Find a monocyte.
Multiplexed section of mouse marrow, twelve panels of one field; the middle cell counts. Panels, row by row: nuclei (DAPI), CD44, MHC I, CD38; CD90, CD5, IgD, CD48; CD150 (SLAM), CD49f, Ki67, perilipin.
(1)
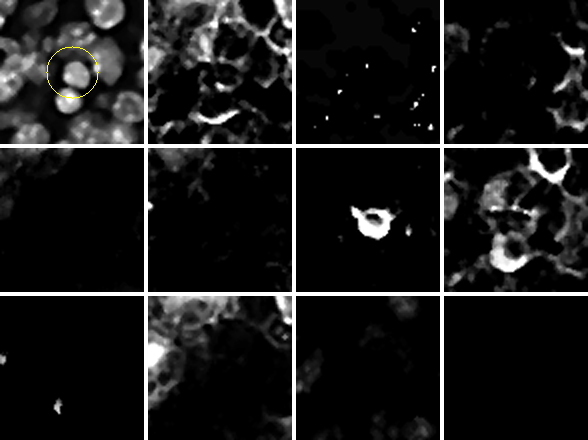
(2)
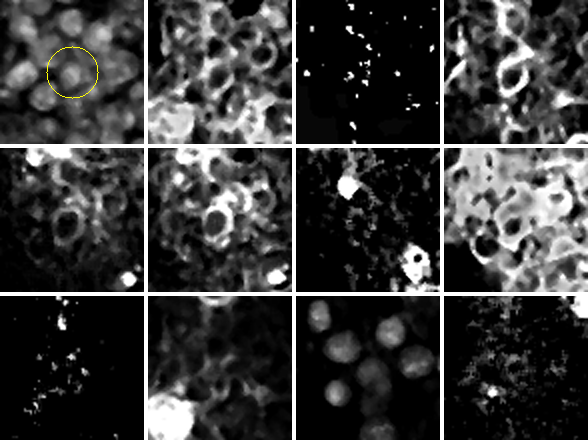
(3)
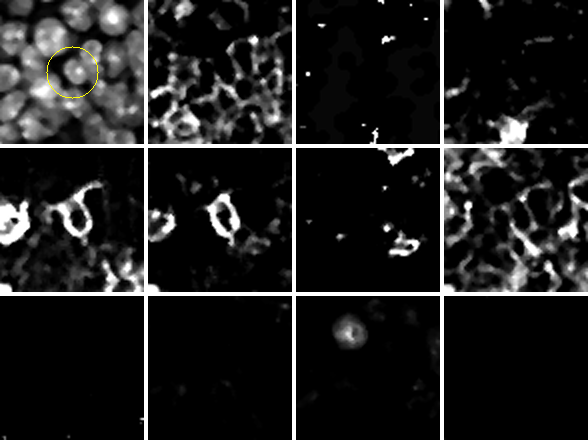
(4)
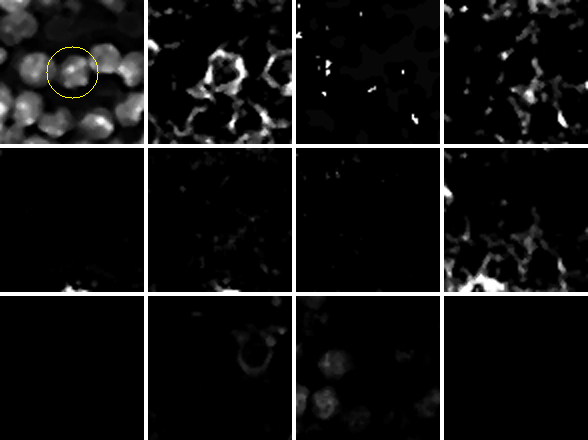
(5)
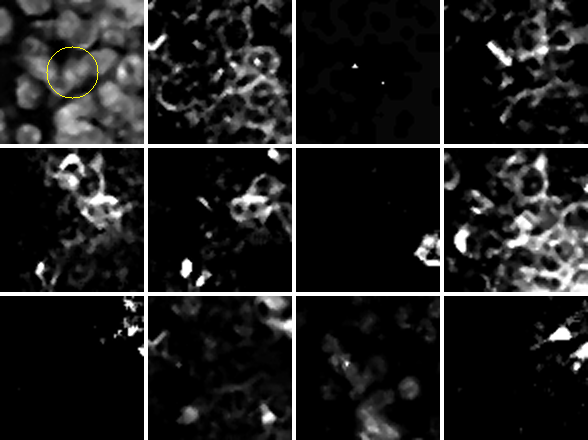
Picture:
2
